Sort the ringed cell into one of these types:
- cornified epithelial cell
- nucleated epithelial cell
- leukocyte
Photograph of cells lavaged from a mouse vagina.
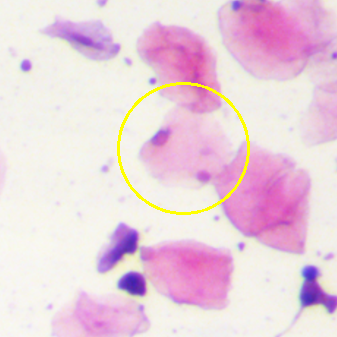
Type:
cornified epithelial cell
